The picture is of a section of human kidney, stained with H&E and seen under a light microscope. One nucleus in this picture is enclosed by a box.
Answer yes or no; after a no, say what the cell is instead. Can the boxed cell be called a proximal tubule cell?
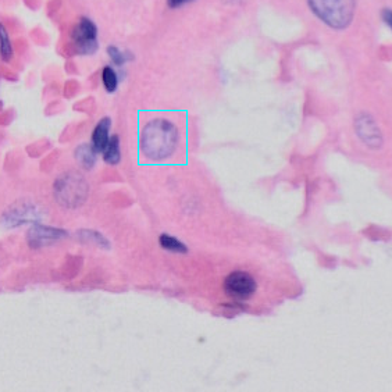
Yes.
